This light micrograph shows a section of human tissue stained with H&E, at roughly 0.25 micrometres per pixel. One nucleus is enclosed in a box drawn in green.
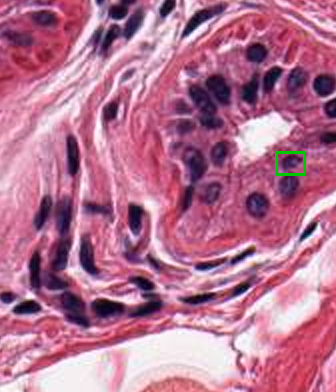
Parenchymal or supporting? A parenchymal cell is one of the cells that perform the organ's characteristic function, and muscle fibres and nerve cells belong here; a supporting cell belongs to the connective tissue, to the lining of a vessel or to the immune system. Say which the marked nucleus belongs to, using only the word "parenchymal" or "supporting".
parenchymal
